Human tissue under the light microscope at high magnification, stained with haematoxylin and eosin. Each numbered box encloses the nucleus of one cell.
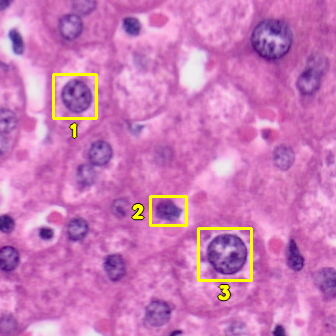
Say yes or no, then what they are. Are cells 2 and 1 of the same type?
No, cell 2 is an endothelial cell and cell 1 is a hepatocyte.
